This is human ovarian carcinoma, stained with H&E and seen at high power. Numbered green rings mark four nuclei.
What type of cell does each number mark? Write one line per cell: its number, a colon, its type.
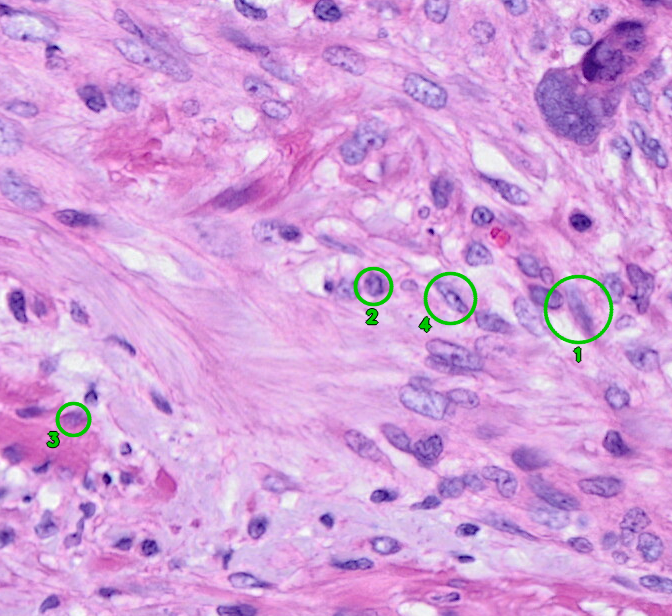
1: fibroblast
2: macrophage or monocyte
3: smooth muscle cell
4: fibroblast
